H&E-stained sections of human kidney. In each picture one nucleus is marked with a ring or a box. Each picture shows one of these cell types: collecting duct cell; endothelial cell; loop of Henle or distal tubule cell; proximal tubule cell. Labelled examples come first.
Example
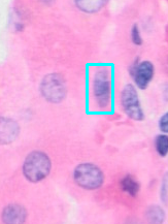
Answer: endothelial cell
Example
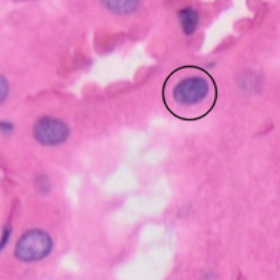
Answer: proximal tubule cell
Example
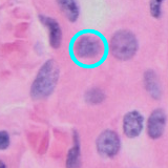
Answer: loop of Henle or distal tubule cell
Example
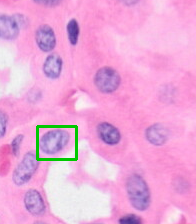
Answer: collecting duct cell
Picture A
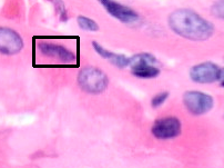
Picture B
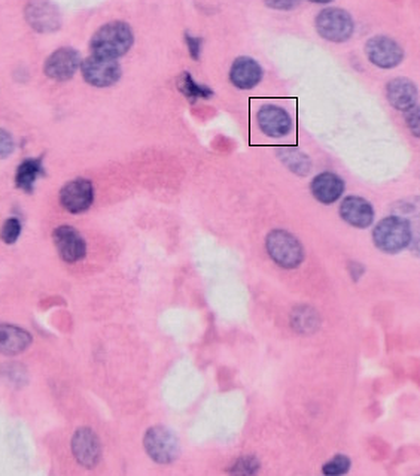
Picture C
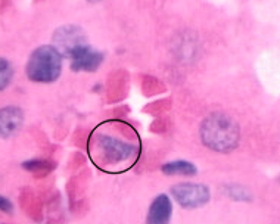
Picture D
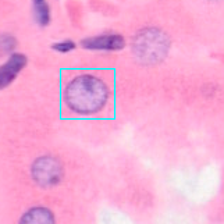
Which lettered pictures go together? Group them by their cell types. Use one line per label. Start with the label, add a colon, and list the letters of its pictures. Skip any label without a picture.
collecting duct cell: B
endothelial cell: C
proximal tubule cell: A, D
